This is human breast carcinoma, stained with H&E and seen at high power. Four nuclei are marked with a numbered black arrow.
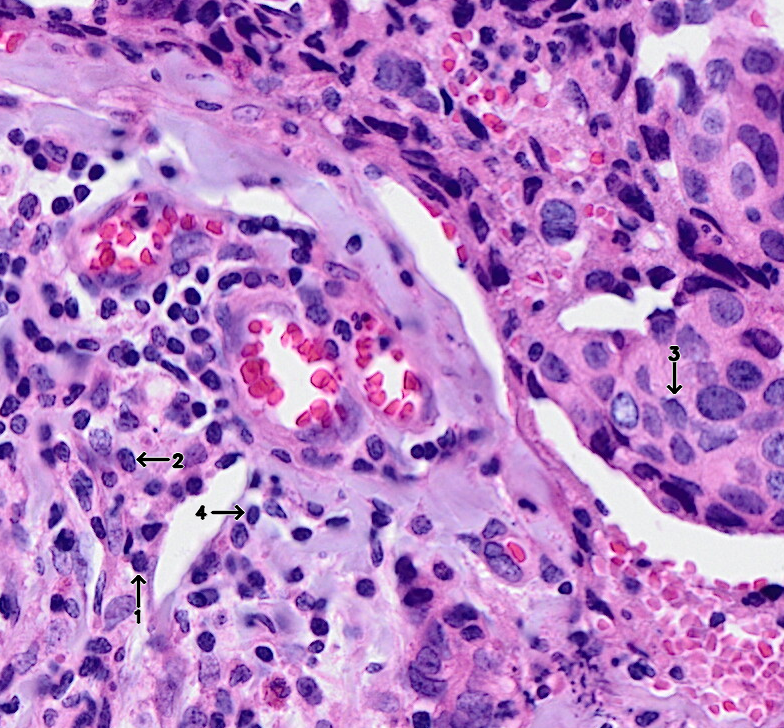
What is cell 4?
lymphocyte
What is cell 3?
carcinoma cell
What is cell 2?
lymphocyte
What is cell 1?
lymphocyte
